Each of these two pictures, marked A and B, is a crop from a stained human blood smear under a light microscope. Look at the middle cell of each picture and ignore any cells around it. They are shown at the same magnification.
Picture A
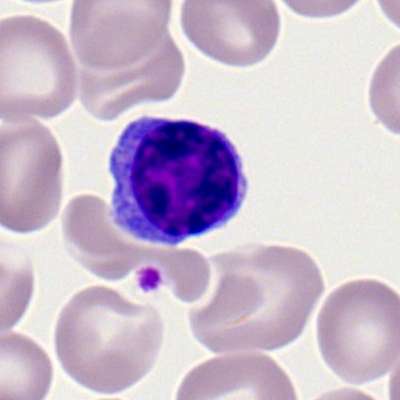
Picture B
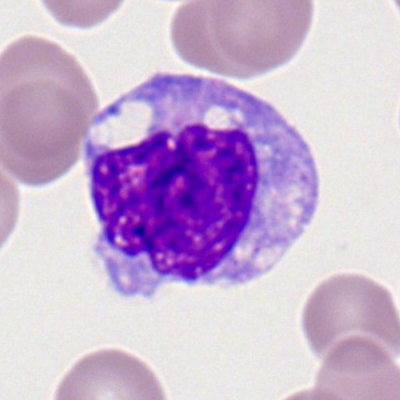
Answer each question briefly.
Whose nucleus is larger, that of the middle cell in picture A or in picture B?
B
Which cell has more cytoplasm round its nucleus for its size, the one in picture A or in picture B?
B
